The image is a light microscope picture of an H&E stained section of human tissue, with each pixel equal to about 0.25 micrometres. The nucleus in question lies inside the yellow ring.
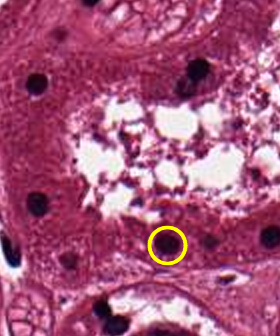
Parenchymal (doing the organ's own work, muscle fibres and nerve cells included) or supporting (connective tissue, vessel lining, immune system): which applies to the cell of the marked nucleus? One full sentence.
The marked nucleus is assigned to a parenchymal cell, namely a proximal tubule cell.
